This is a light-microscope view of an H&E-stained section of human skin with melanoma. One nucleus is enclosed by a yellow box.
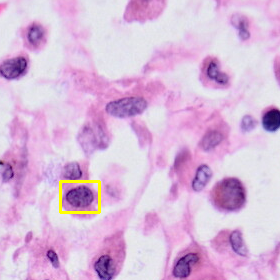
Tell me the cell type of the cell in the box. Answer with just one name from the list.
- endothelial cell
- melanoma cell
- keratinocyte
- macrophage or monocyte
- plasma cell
macrophage or monocyte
